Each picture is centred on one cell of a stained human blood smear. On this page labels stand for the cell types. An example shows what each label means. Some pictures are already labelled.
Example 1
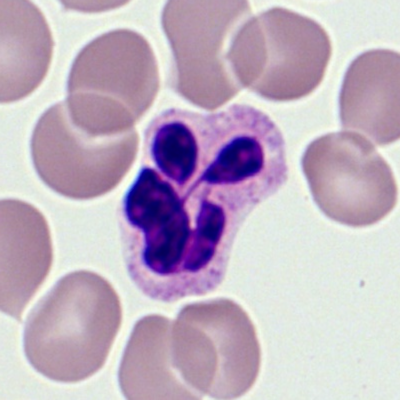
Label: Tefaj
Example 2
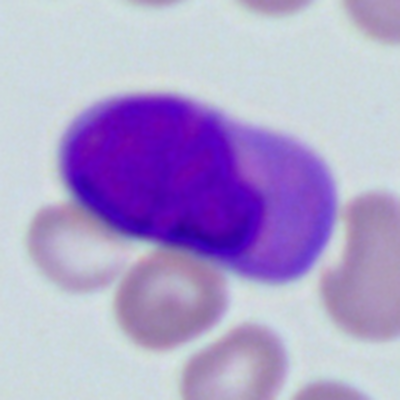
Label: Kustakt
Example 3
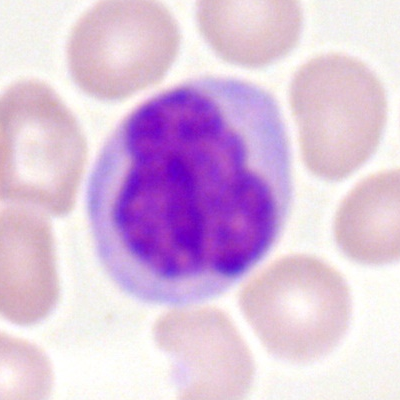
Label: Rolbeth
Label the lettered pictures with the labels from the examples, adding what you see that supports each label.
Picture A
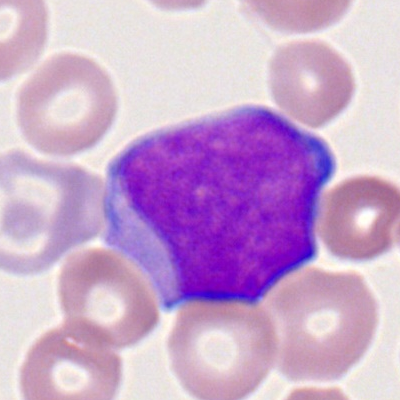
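Label: Kustakt. The nucleus is a single unlobed mass that fills most of the cell.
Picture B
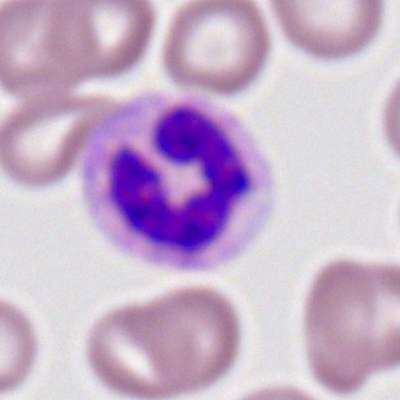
Label: Tefaj. The nucleus is a single curved band bent into a C shape.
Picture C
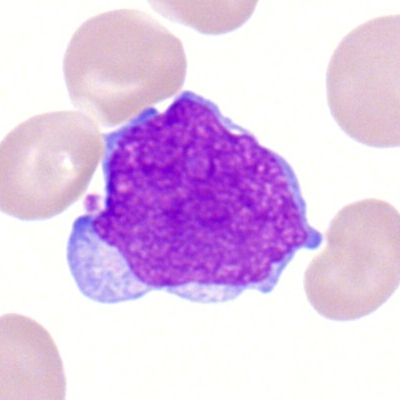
Label: Kustakt. The nucleus fills most of the cell.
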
